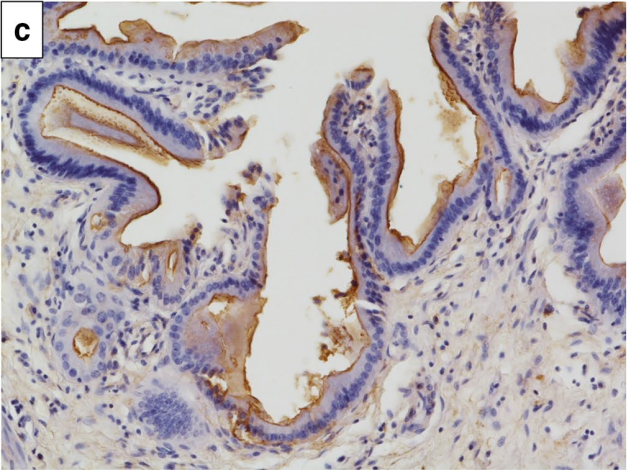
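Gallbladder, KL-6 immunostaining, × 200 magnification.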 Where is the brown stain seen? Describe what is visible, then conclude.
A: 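A single layer of tall columnar cells lines folded spaces. The brown stain runs along the border of the cells facing the lumen. The basal parts of the cells and their nuclei are unstained.
Conclusion: apical side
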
